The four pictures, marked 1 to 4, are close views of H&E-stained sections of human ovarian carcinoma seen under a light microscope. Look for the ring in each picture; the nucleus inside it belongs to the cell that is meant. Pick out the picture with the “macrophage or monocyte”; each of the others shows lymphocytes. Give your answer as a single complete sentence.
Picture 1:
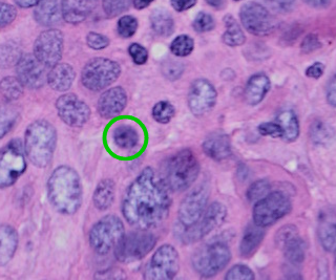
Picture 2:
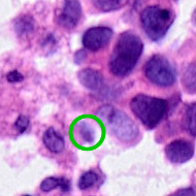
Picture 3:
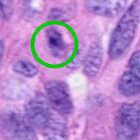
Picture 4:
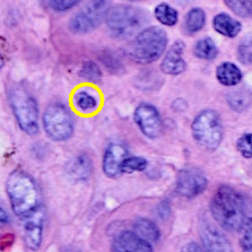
The picture with the “macrophage or monocyte” is 2.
